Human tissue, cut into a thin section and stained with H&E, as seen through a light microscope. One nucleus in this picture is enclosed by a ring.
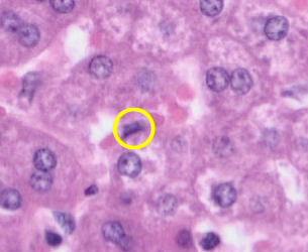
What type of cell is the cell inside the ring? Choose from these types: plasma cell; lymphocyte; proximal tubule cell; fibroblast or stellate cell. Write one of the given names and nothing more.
fibroblast or stellate cell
